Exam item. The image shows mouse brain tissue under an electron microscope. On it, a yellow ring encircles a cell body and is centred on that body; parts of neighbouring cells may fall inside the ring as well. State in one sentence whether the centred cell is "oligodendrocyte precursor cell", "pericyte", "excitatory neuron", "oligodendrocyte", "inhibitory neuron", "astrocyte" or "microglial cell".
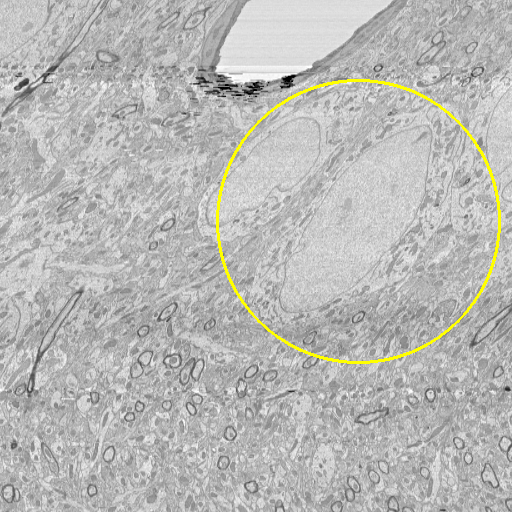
The cell body centred in the ring is an inhibitory neuron.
